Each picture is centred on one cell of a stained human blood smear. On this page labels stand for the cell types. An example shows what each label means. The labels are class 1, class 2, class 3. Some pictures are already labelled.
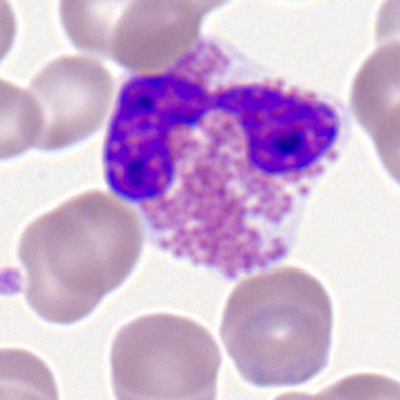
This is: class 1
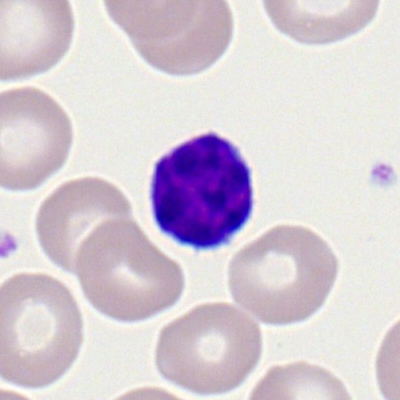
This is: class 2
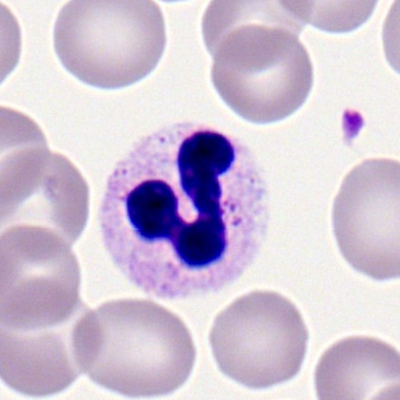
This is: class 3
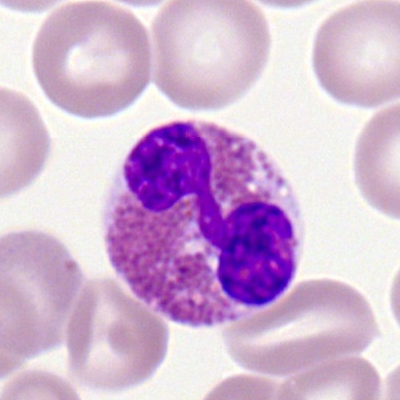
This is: class 1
